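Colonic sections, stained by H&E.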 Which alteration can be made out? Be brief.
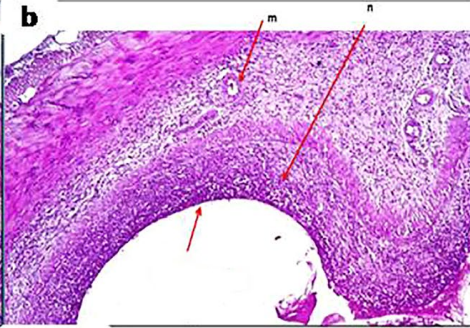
ulceration with inflammatory cells infiltration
